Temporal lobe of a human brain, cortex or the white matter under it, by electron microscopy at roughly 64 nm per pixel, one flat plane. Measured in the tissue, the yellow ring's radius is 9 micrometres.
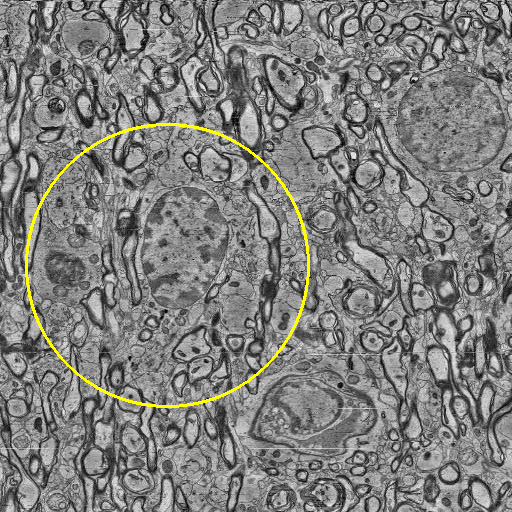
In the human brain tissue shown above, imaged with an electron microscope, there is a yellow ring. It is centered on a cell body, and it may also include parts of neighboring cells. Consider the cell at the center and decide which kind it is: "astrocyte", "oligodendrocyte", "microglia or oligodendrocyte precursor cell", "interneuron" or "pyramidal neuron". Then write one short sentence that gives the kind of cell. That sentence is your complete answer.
This centered cell body is that of a microglial cell or oligodendrocyte precursor cell.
